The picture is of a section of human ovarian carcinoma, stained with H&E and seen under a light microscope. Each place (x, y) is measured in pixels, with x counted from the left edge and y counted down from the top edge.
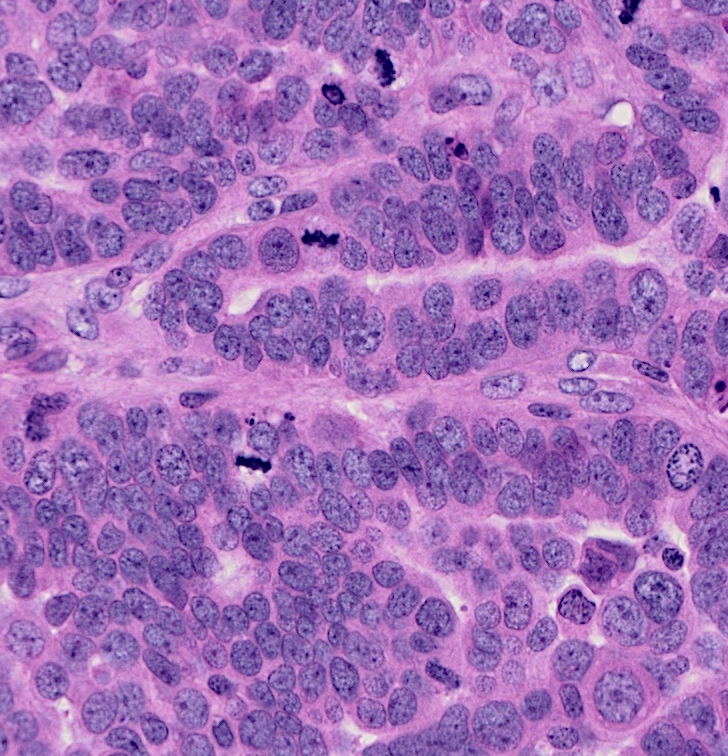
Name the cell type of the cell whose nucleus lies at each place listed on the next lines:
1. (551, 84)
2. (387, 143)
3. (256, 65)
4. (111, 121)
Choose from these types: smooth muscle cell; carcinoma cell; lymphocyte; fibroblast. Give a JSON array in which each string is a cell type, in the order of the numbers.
["fibroblast", "carcinoma cell", "carcinoma cell", "carcinoma cell"]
